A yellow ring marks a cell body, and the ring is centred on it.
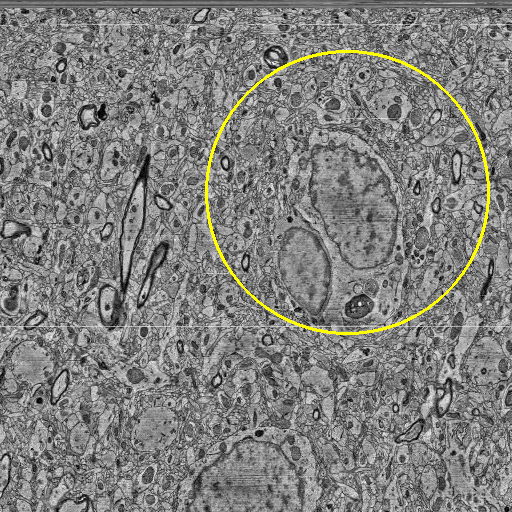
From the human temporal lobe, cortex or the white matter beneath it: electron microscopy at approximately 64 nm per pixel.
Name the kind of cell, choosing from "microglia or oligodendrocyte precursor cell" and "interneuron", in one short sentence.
The marked cell body belongs to an interneuron.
